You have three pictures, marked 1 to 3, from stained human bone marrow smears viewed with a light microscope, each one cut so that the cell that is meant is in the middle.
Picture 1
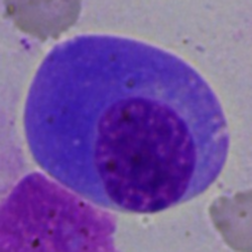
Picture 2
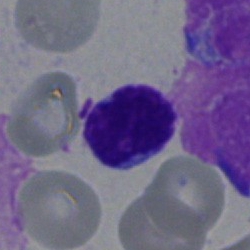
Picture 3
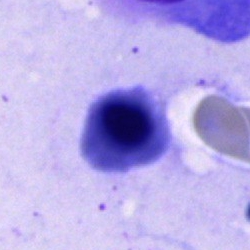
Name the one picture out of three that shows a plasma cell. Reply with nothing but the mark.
1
